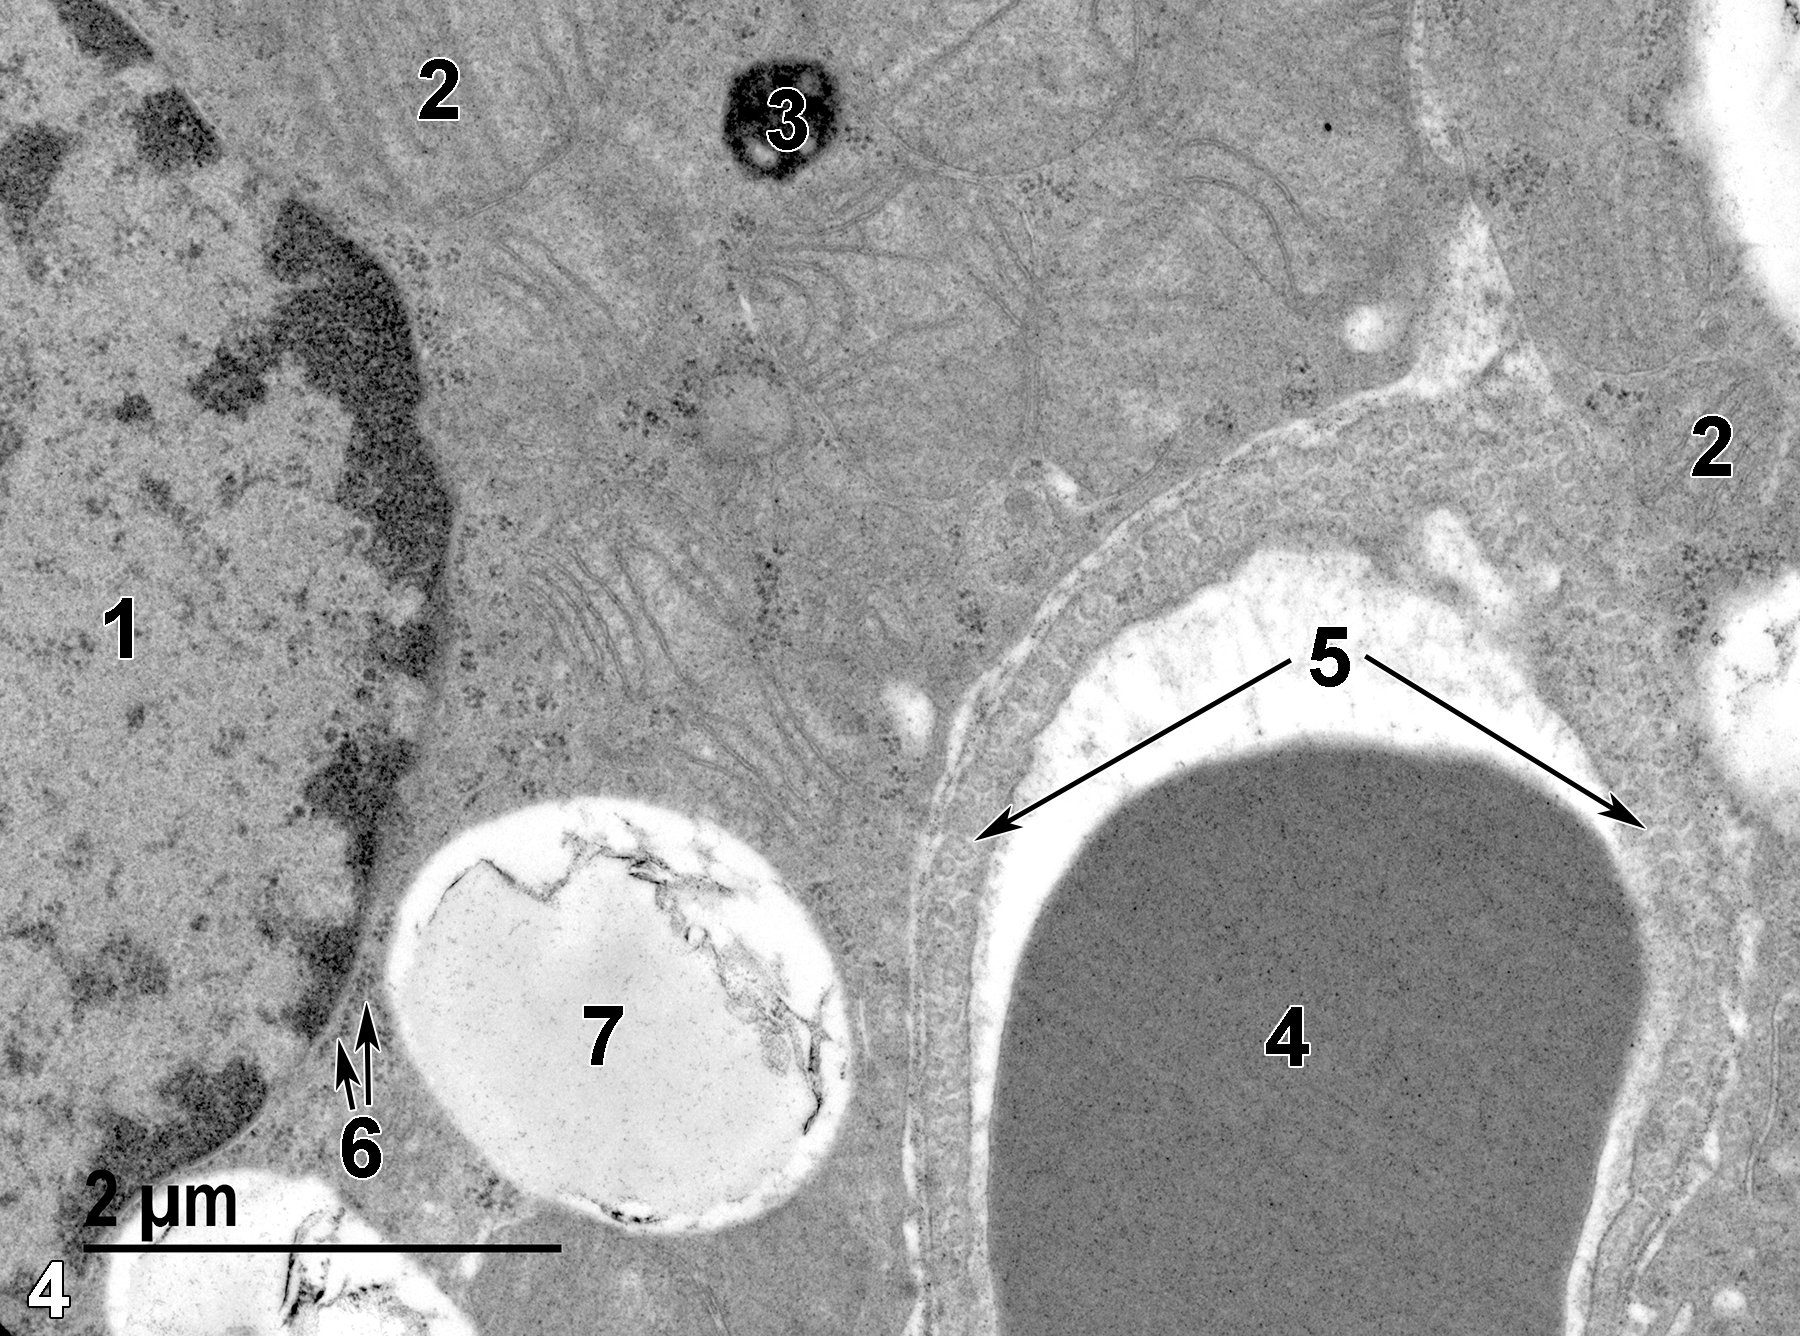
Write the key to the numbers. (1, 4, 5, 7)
1. chief cell nucleus
4. erythrocyte
5. micro-pinocytotic vesicles
7. lipid body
